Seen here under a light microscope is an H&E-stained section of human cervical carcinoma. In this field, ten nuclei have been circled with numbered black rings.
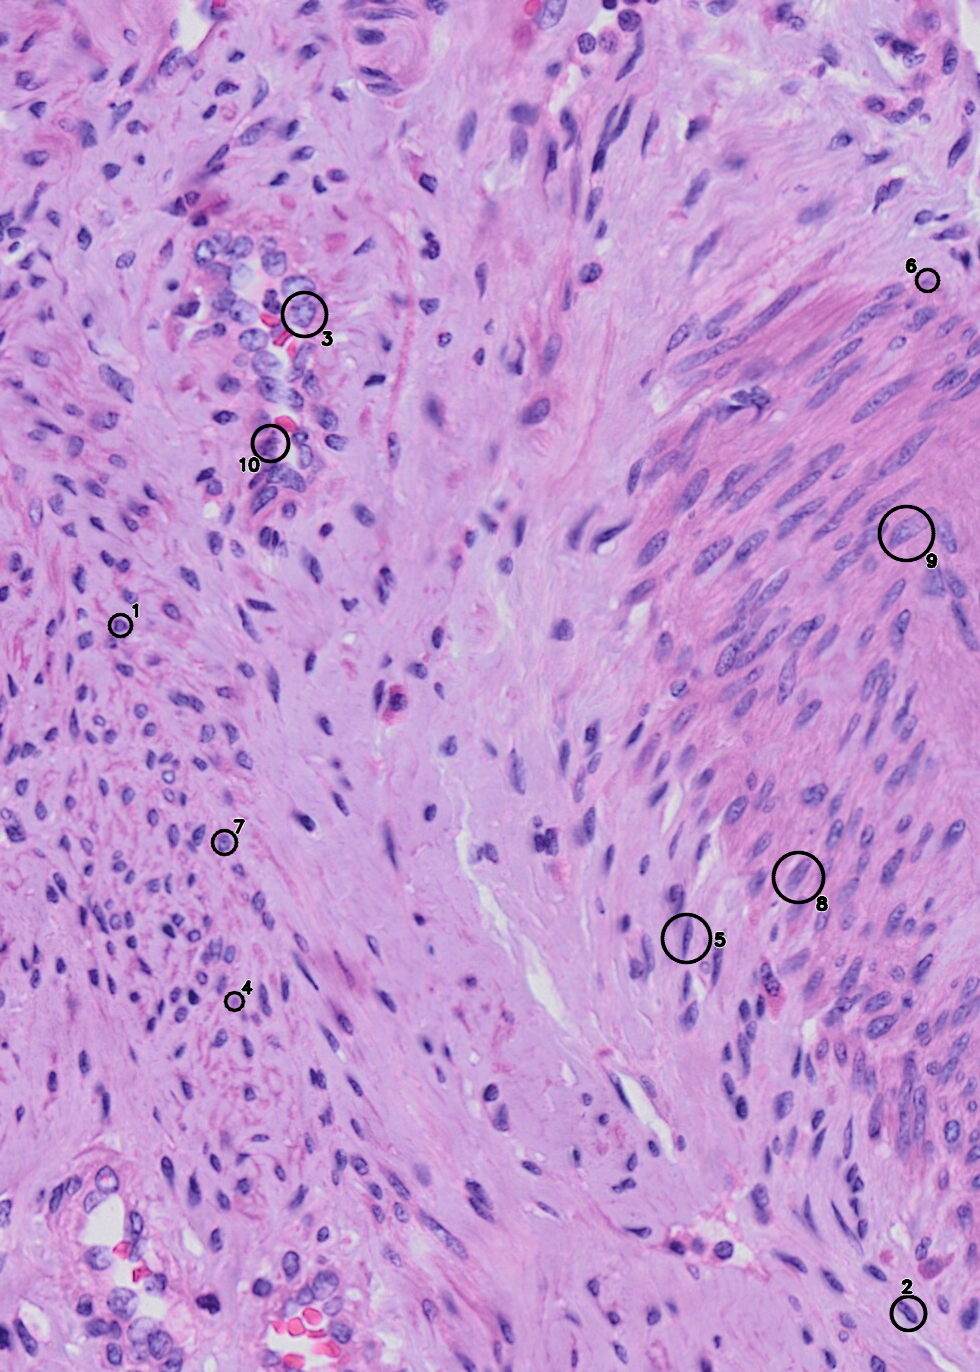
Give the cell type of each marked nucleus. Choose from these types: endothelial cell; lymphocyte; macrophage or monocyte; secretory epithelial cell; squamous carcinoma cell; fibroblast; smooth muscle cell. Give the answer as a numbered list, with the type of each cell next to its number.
1. smooth muscle cell
2. fibroblast
3. endothelial cell
4. smooth muscle cell
5. fibroblast
6. smooth muscle cell
7. smooth muscle cell
8. smooth muscle cell
9. smooth muscle cell
10. endothelial cell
